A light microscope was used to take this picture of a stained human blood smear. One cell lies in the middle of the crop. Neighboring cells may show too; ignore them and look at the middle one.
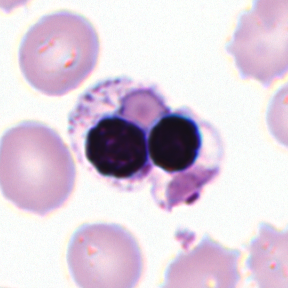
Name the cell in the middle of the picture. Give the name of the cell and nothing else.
normoblast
